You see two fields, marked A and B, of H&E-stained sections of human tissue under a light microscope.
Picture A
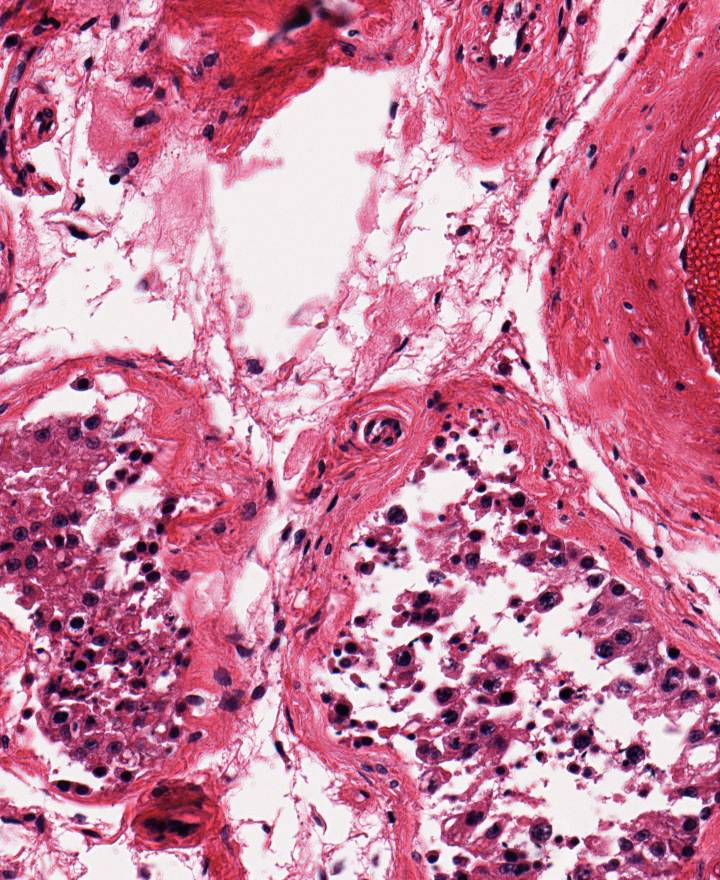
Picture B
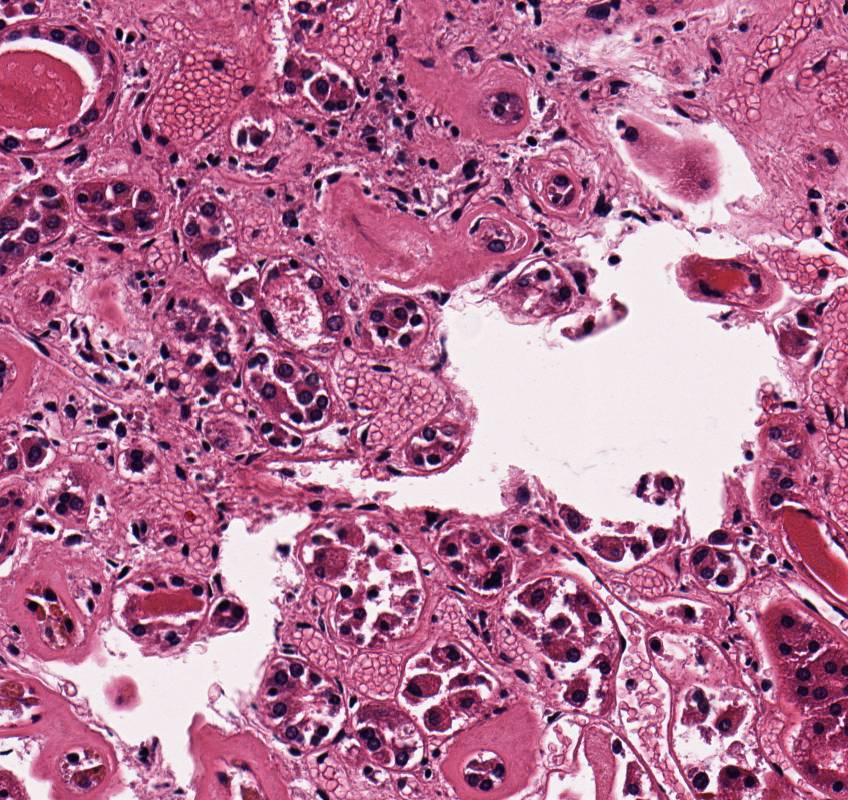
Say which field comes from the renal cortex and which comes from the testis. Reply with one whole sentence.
It is picture A that comes from the testis, and picture B that comes from the renal cortex.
